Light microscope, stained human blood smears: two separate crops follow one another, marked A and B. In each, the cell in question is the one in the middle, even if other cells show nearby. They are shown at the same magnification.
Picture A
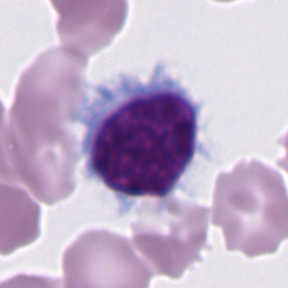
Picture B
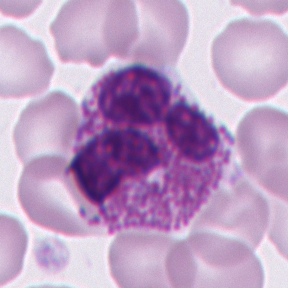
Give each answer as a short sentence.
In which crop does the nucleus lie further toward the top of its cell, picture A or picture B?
Seen within its cell, the nucleus in picture B lies further toward the top.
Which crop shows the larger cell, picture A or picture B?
It is the cell in picture B, about 1.5 times as large in area as the cell in picture A.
